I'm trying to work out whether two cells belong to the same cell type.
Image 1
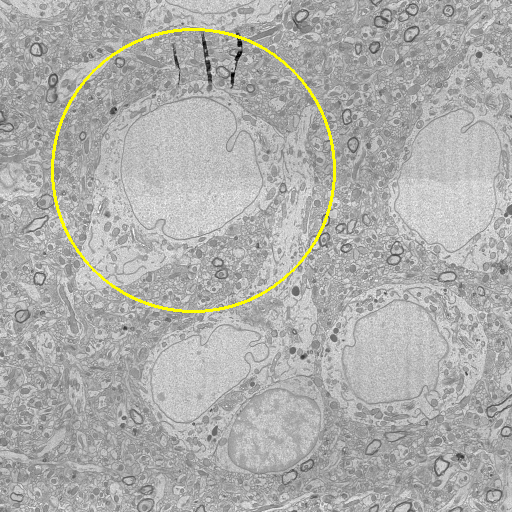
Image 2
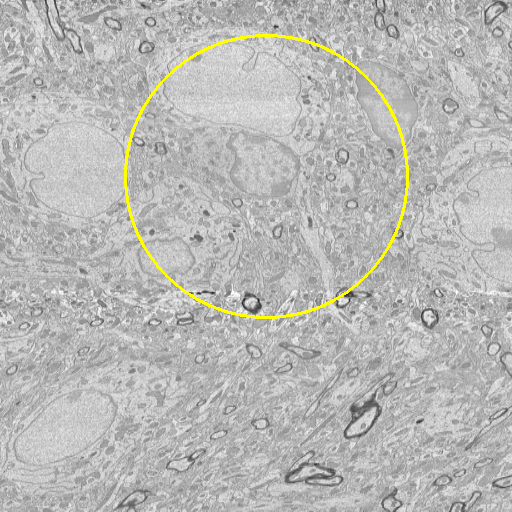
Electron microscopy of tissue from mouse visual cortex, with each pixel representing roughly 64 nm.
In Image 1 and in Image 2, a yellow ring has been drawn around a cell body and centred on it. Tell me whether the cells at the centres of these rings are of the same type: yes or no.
no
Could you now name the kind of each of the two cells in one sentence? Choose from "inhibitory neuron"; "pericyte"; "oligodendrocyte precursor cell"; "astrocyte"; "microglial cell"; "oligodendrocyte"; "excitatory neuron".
The first ring encloses an excitatory neuron; the second ring encloses an oligodendrocyte.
